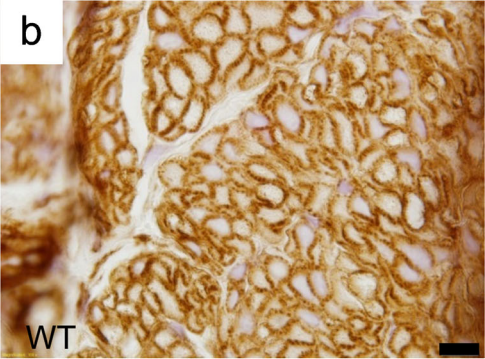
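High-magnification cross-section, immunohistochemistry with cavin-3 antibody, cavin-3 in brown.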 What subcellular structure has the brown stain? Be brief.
Smooth muscle cell membranes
